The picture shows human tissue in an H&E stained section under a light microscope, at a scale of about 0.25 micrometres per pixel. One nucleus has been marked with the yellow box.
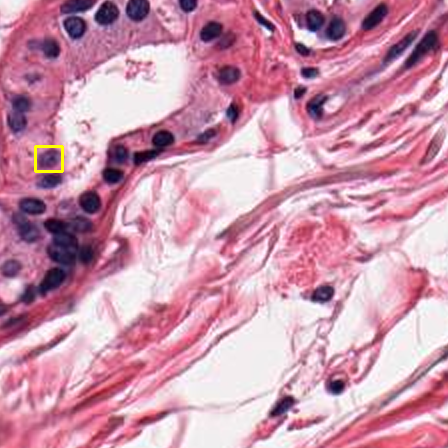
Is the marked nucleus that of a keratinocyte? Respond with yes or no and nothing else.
no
